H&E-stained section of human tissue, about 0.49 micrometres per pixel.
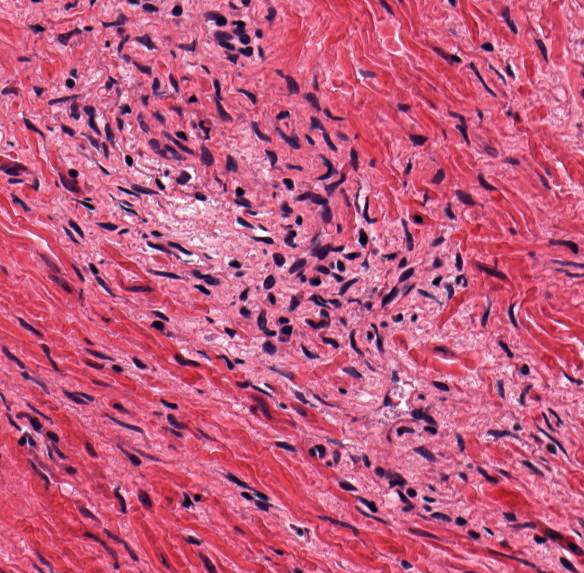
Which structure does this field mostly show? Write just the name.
fibromuscular stroma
